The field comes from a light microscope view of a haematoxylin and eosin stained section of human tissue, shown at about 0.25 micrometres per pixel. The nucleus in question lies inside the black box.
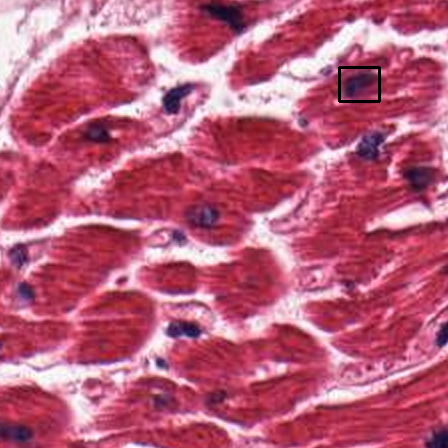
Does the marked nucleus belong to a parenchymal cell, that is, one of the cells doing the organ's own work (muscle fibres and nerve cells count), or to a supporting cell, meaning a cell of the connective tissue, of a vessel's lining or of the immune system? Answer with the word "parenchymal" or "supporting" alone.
parenchymal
